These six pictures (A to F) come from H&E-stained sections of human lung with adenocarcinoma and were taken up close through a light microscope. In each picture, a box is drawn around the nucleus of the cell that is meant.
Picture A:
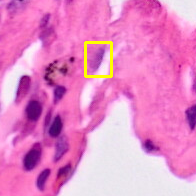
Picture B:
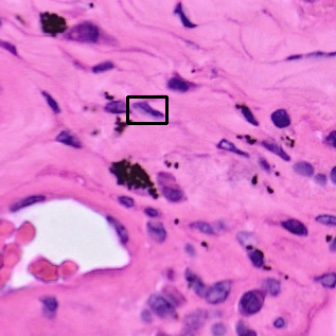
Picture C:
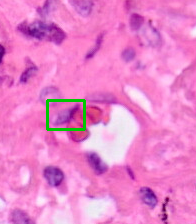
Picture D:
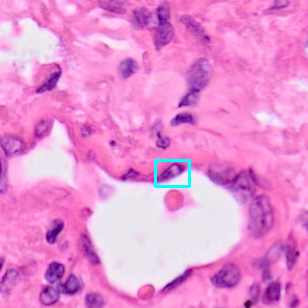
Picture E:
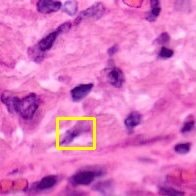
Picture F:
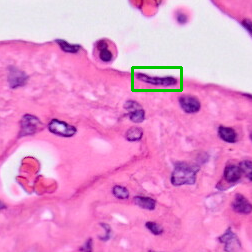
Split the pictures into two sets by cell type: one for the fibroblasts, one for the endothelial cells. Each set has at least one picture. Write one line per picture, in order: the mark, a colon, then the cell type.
A: fibroblast
B: fibroblast
C: endothelial cell
D: endothelial cell
E: fibroblast
F: endothelial cell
